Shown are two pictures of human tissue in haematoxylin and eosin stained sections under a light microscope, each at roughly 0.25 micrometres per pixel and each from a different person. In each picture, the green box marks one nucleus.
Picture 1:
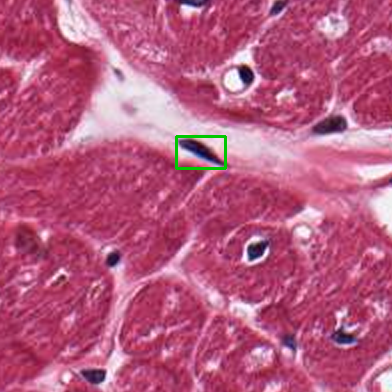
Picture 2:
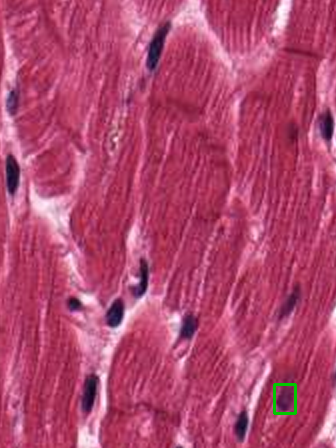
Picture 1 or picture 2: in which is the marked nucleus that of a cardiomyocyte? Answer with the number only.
2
